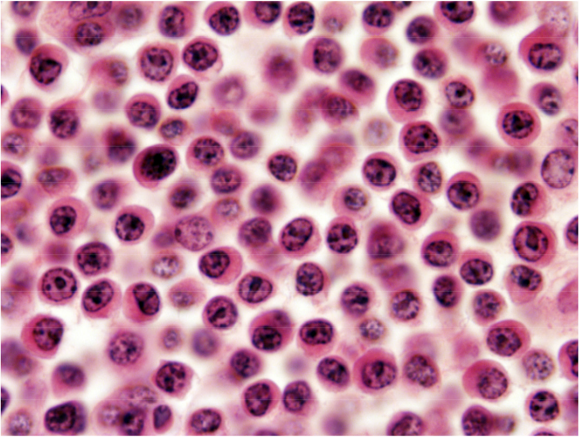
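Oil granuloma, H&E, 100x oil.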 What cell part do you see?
clock-face nuclear pattern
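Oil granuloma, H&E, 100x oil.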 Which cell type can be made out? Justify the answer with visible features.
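Plasmablastic/plasmacytic. Sheets of round to oval cells packed closely together. Nuclei are round and often eccentric. Each cell has a rim of pink cytoplasm.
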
